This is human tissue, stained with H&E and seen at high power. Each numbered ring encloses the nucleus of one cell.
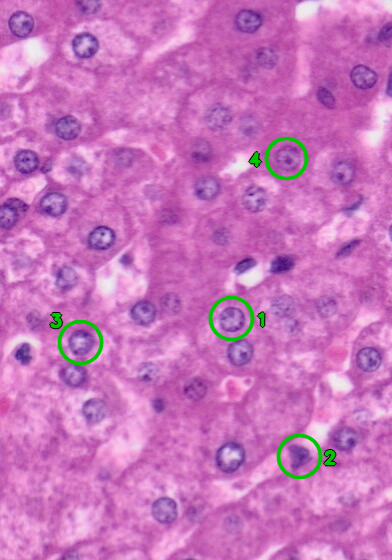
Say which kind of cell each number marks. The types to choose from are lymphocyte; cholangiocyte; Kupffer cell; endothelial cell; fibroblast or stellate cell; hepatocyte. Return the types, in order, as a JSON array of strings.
["hepatocyte", "endothelial cell", "hepatocyte", "hepatocyte"]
